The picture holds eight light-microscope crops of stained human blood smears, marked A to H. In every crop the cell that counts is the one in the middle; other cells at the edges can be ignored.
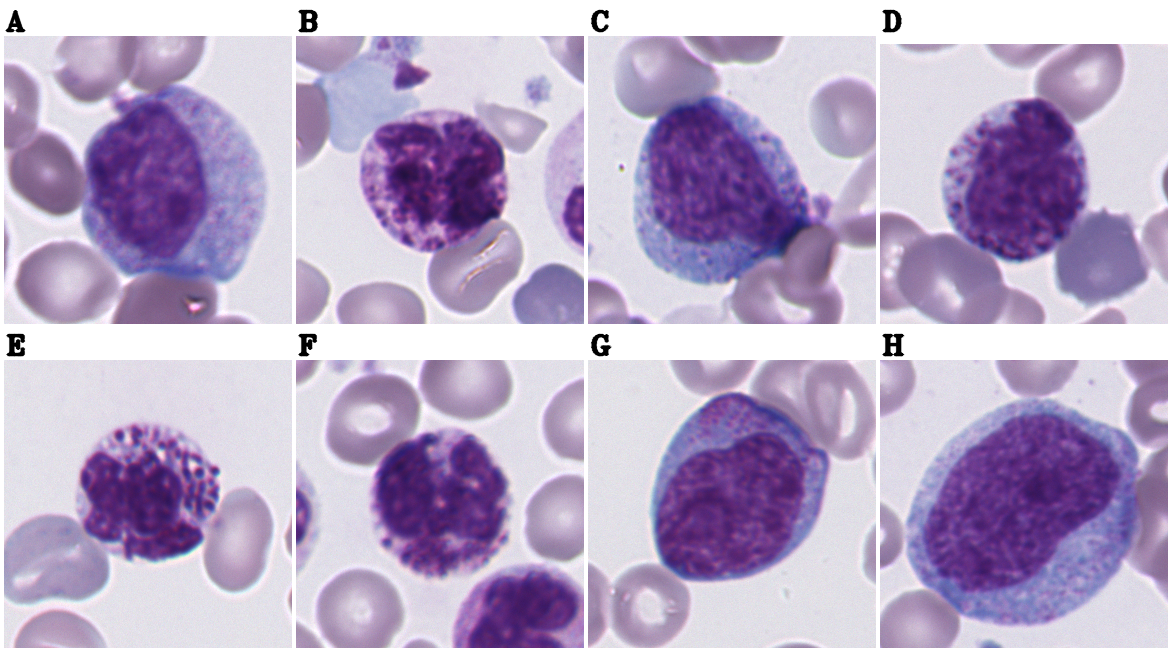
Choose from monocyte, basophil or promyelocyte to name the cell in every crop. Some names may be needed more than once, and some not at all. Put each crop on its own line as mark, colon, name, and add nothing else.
A: promyelocyte
B: basophil
C: promyelocyte
D: basophil
E: basophil
F: basophil
G: promyelocyte
H: promyelocyte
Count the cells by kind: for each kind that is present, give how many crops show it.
promyelocyte: 4
basophil: 4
